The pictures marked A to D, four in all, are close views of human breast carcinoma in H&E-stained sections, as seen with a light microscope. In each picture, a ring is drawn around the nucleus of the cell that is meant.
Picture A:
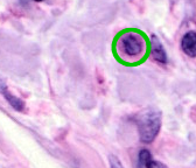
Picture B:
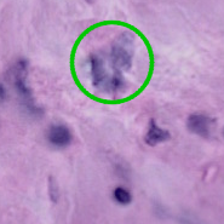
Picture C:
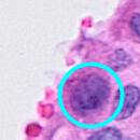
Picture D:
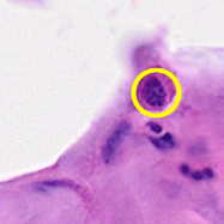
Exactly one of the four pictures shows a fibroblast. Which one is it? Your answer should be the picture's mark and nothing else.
B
